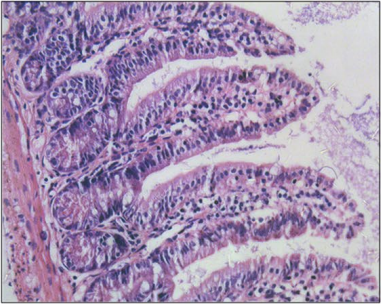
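Long, closely set small intestinal villi stretch across the field from a mucosa that borders a strip of pink smooth muscle at the left. The villi are covered by columnar epithelium with crowded dark purple nuclei, and their cores are rich in nuclei of the lamina propria. At the base, rounded crypt-like glands with packed nuclei lie between the villus roots.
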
